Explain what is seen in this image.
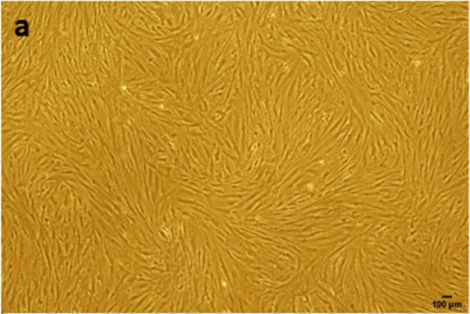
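A dense culture of elongated, spindle-shaped cells covers the whole field as a confluent layer. The cells lie parallel to their neighbours and form swirling, stream-like arrays across the dish, with a few brighter rounded cells scattered among them.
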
